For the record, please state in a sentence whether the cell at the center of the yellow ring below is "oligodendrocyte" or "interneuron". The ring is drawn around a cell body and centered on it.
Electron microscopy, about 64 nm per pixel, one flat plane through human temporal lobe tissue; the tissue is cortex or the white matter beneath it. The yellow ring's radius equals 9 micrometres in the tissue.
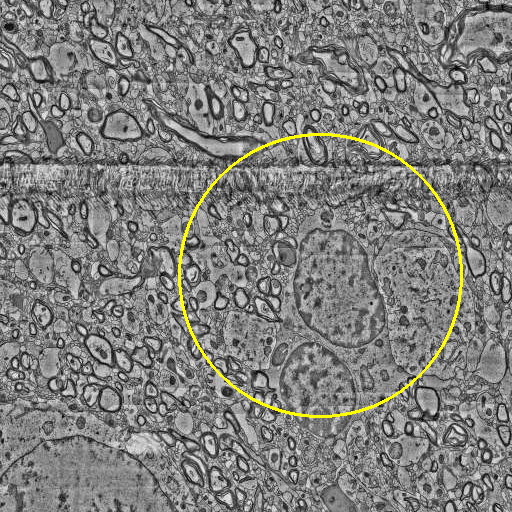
The cell at the ring's center is an oligodendrocyte.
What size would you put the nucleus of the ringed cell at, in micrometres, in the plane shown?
Roughly 8 by 5 micrometres is the size of the nucleus in this plane.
